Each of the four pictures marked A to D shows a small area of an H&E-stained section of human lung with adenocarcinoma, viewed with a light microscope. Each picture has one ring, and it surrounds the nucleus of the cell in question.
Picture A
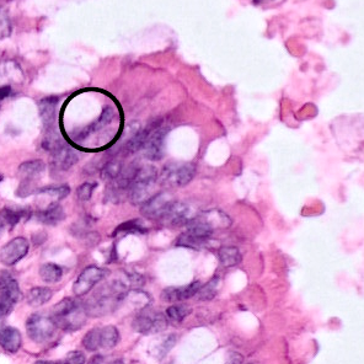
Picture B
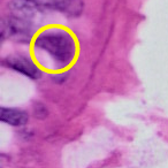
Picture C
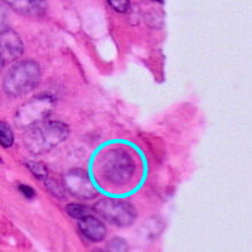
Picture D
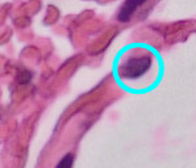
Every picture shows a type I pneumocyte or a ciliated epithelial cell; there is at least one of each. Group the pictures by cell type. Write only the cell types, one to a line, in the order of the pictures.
ciliated epithelial cell
ciliated epithelial cell
ciliated epithelial cell
type I pneumocyte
